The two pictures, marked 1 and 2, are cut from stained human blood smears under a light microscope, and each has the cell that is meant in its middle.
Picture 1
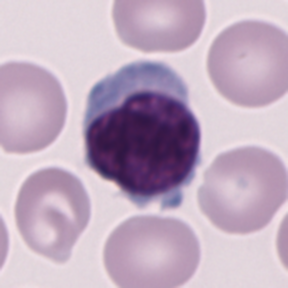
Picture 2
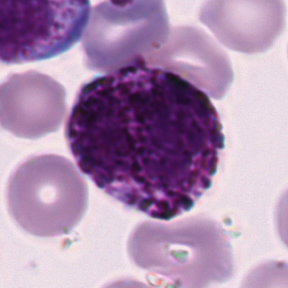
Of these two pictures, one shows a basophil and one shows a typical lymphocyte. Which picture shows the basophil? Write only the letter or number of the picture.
2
